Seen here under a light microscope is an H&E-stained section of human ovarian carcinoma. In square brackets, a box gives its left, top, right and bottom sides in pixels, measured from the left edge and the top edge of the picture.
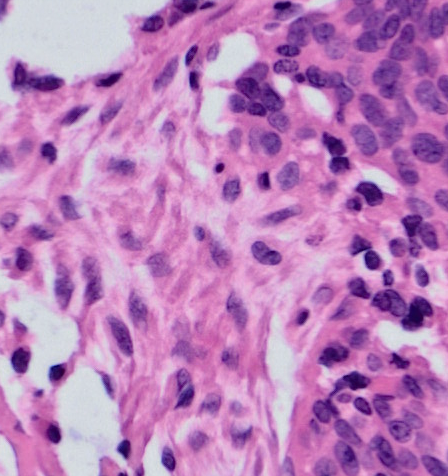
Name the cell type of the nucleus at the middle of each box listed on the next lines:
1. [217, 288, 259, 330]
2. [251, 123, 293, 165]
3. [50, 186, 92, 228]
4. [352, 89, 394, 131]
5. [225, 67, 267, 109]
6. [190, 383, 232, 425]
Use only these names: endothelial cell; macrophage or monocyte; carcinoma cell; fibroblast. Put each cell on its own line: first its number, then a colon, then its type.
1: fibroblast
2: carcinoma cell
3: fibroblast
4: carcinoma cell
5: carcinoma cell
6: fibroblast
